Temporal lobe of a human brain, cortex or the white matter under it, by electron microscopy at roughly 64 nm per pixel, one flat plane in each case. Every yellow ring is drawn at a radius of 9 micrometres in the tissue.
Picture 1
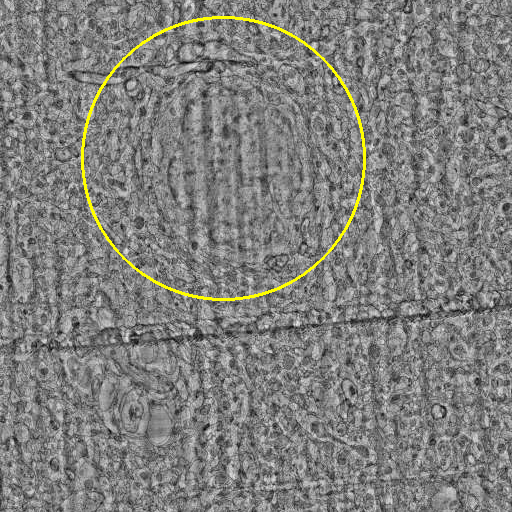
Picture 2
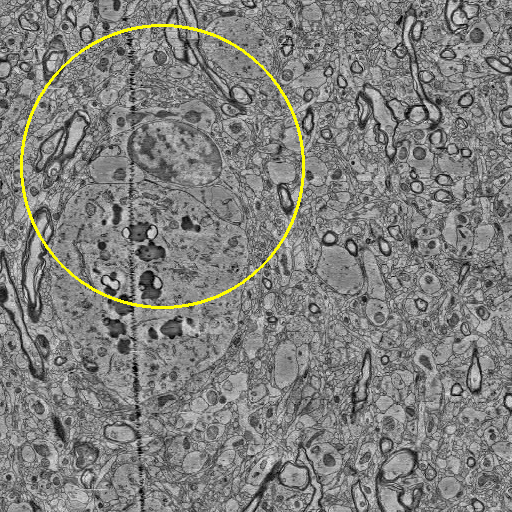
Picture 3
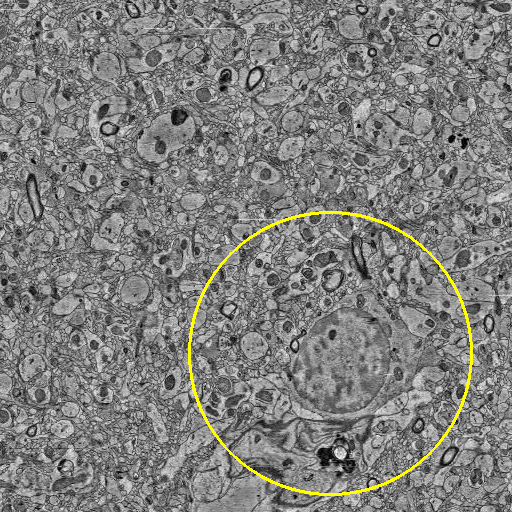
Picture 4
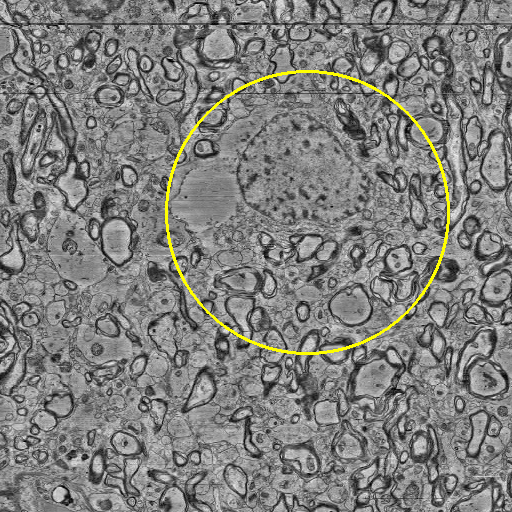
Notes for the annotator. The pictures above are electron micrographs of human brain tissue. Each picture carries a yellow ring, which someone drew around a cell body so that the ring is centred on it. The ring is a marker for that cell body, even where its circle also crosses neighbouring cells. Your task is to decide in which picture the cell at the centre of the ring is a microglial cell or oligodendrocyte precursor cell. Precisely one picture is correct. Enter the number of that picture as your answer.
2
